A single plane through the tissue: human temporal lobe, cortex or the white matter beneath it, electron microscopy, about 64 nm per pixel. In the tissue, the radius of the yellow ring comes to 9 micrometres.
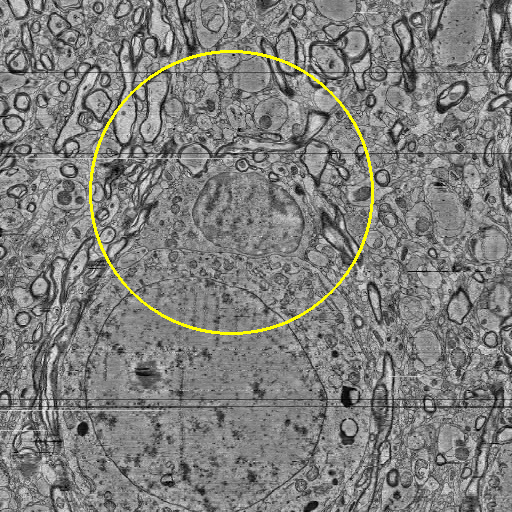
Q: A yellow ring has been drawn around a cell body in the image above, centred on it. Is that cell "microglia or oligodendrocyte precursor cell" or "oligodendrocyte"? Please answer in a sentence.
The ring surrounds the cell body of an oligodendrocyte.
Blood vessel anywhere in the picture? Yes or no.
No, none shows.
